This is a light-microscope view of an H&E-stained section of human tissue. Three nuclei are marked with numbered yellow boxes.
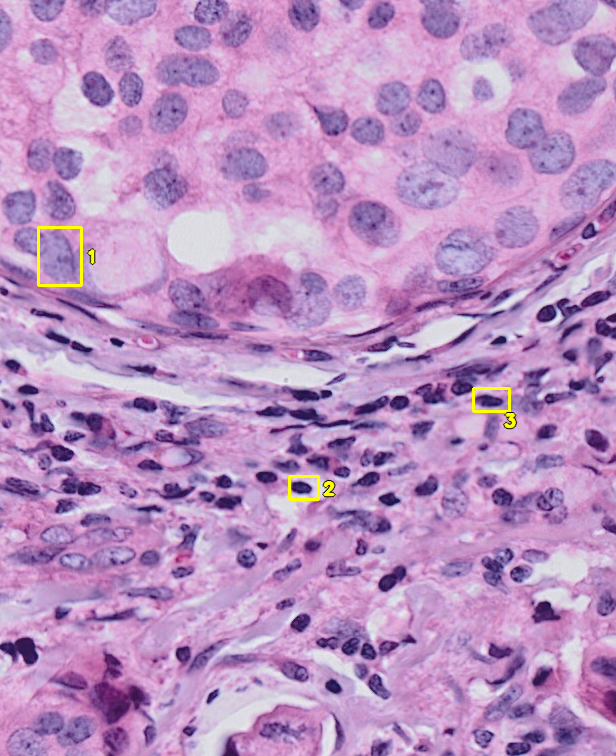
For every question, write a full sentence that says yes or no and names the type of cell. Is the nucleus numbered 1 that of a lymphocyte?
No, the cell given the number 1 is a carcinoma cell, so not a lymphocyte.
